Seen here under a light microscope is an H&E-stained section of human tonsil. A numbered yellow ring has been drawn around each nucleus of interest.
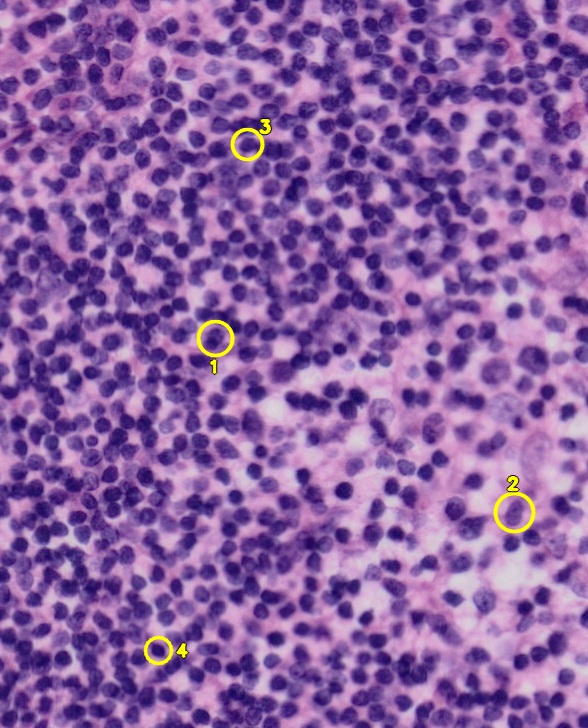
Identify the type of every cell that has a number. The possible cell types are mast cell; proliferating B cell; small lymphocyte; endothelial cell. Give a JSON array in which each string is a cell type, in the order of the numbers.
["small lymphocyte", "proliferating B cell", "small lymphocyte", "small lymphocyte"]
